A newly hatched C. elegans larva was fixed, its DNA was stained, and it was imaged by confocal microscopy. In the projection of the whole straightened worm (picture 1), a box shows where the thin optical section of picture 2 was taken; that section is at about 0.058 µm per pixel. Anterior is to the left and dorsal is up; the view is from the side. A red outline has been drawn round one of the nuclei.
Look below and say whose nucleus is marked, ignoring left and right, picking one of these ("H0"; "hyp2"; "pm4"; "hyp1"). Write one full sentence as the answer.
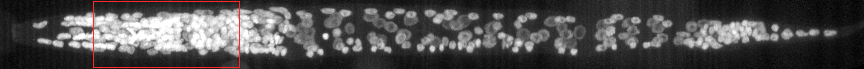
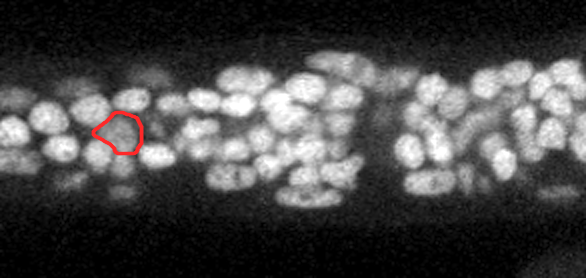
The marked nucleus is that of H0, a seam cell.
